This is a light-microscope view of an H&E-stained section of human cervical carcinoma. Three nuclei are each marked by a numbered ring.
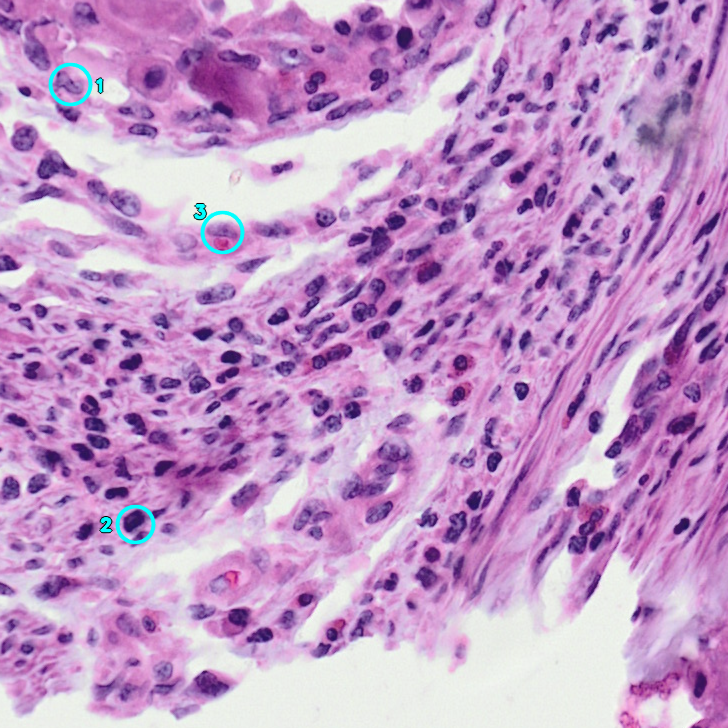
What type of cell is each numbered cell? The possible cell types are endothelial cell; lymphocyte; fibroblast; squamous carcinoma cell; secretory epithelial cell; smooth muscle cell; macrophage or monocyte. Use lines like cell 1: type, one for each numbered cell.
cell 1: macrophage or monocyte
cell 2: lymphocyte
cell 3: endothelial cell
